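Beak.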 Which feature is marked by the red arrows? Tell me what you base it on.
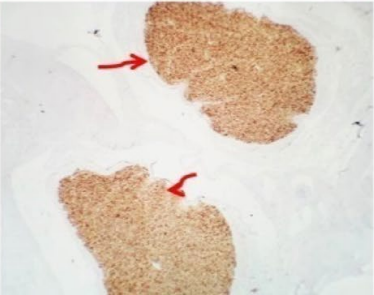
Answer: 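Two rounded, sharply bounded masses are stained brown throughout. The surrounding tissue is unstained and pale. The answer: nerve bundles.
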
